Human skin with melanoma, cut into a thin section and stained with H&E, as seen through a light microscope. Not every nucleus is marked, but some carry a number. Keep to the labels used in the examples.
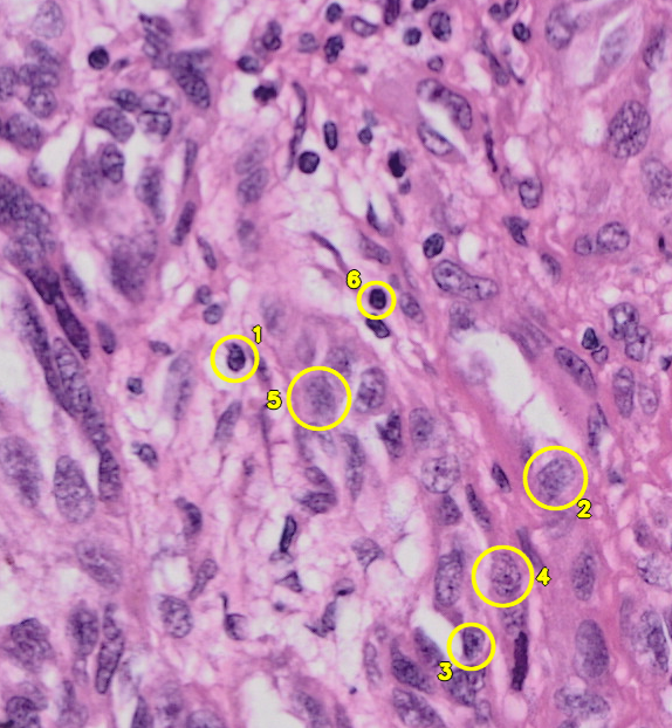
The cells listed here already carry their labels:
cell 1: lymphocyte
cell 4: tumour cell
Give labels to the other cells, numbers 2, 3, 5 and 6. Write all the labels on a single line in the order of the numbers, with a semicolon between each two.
tumour cell; tumour cell; tumour cell; lymphocyte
